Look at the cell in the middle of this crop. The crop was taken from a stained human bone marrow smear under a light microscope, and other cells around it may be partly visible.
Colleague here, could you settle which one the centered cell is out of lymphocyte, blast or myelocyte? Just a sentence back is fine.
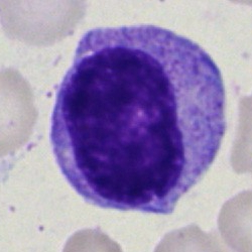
The cell of interest, located centrally, is a myelocyte.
